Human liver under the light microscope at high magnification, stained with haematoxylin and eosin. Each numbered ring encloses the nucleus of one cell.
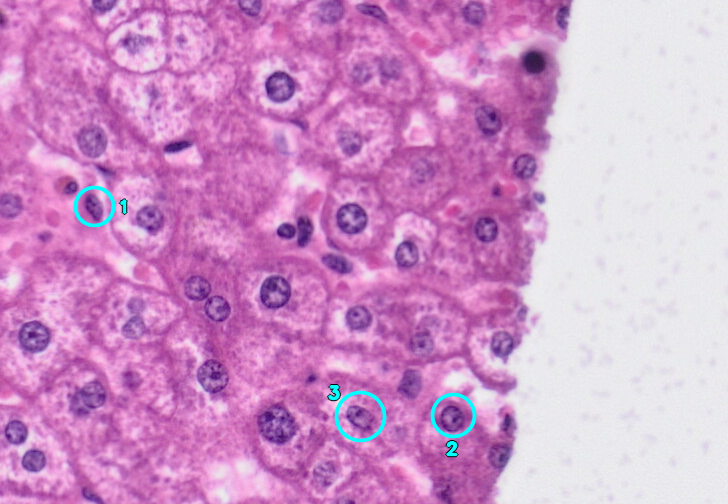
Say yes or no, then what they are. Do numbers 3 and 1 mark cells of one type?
No, cell 3 is a hepatocyte and cell 1 is a Kupffer cell.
